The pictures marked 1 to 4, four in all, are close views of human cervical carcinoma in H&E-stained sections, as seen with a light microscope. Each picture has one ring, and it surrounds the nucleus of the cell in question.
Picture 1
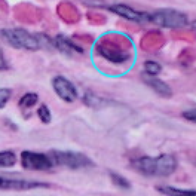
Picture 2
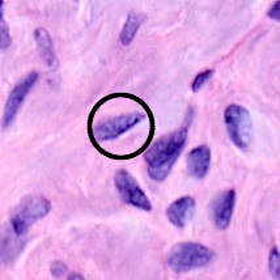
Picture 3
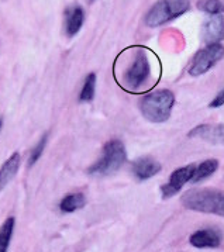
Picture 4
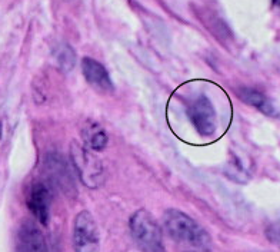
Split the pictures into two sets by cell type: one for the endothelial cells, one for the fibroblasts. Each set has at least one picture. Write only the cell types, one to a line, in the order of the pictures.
endothelial cell
fibroblast
endothelial cell
fibroblast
